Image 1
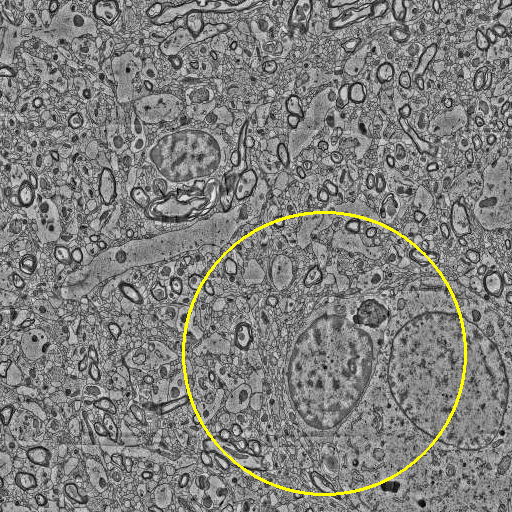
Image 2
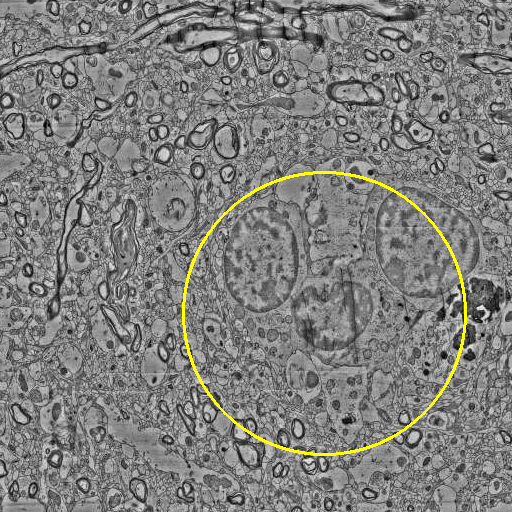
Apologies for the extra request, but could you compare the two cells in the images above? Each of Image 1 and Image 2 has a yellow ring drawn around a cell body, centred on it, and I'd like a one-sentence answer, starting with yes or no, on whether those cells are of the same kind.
Yes, both cells are of the same kind.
